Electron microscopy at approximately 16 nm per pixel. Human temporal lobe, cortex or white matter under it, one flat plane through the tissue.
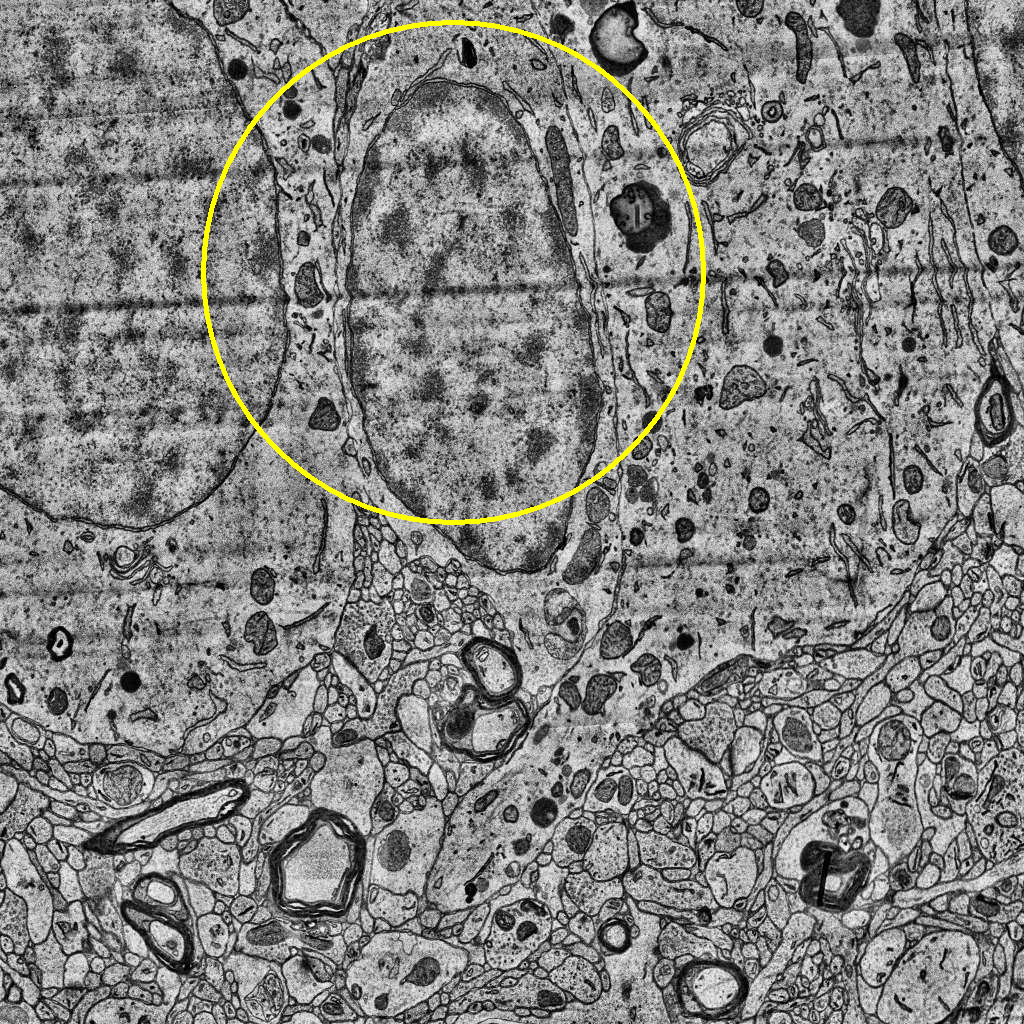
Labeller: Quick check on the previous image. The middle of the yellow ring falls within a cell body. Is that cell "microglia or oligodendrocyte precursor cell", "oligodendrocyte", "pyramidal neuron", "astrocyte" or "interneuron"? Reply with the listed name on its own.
microglia or oligodendrocyte precursor cell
